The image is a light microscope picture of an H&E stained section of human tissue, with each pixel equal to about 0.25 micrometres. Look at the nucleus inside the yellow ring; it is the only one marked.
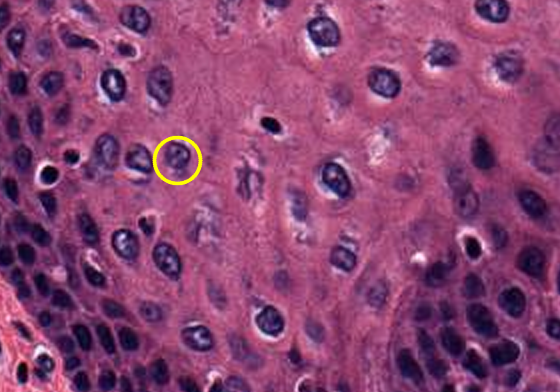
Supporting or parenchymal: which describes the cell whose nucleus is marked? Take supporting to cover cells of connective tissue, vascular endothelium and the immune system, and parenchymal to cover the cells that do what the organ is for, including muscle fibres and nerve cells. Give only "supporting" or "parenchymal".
parenchymal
